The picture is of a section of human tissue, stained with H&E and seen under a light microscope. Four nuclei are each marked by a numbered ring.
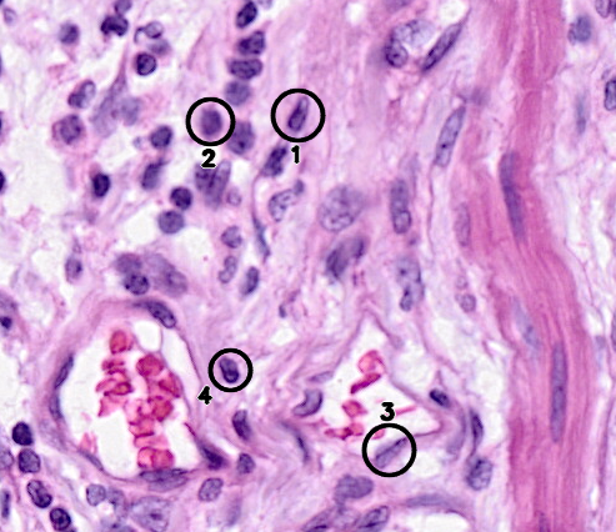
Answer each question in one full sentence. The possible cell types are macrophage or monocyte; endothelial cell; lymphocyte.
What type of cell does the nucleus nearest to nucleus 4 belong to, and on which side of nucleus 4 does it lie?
Lying below nucleus 4, the nearest nucleus is that of a macrophage or monocyte.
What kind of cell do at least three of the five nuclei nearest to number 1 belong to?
Of the five nuclei nearest to number 1, most belong to lymphocytes.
